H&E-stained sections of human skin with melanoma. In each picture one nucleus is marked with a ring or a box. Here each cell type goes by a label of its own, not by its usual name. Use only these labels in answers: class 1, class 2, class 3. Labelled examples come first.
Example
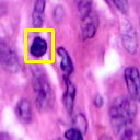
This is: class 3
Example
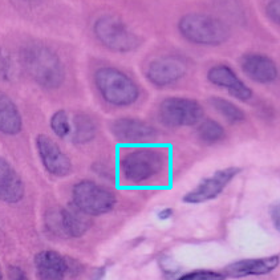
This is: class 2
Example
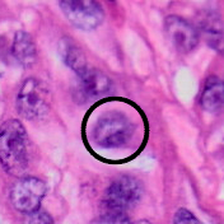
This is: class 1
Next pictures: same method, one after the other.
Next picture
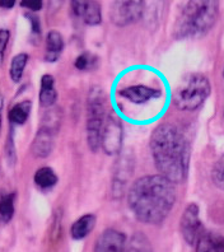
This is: class 3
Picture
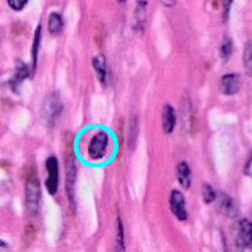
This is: class 3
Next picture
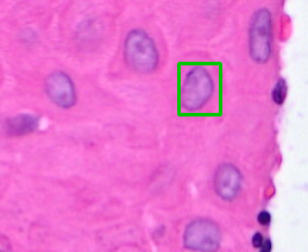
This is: class 2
